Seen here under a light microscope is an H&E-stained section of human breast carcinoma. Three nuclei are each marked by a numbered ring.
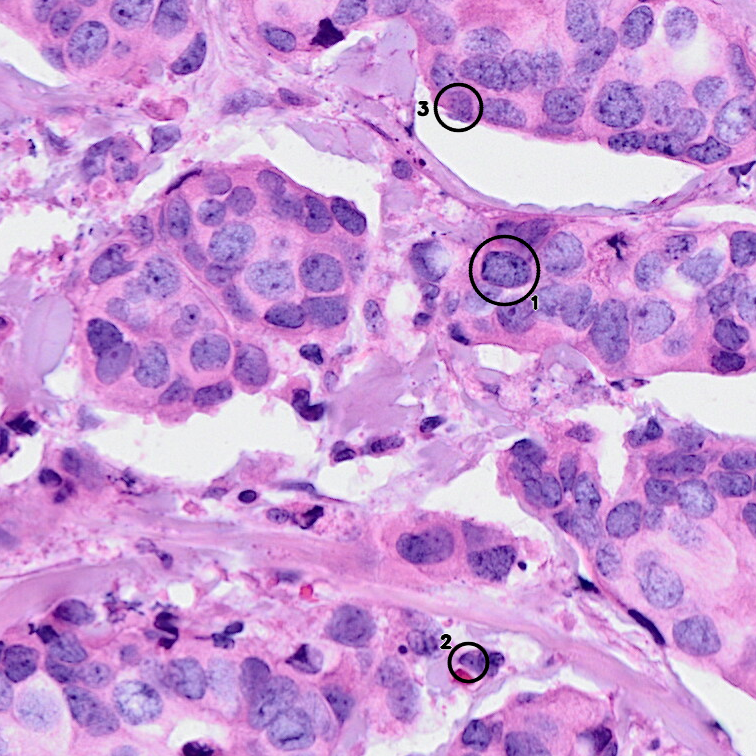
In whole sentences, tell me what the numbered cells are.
Cell 1 is a carcinoma cell, cell 2 is an endothelial cell and cell 3 is a carcinoma cell.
